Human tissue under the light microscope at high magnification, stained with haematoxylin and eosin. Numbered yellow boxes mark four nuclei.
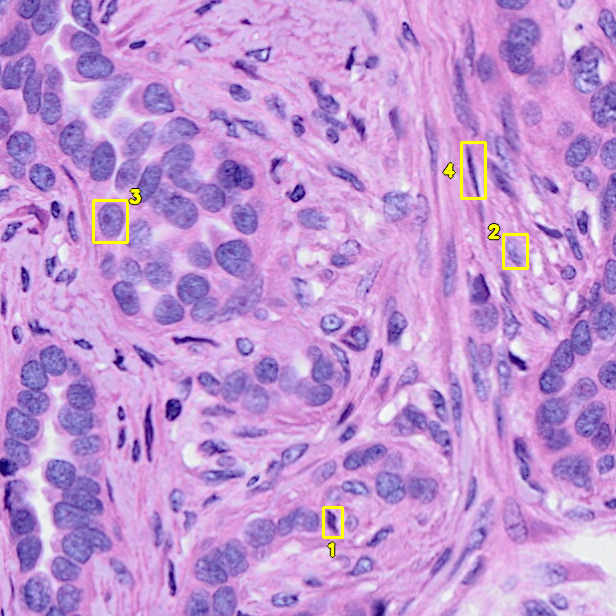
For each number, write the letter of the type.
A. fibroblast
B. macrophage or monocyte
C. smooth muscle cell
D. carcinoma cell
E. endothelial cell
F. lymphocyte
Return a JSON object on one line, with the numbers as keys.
{"1": "A", "2": "A", "3": "D", "4": "A"}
